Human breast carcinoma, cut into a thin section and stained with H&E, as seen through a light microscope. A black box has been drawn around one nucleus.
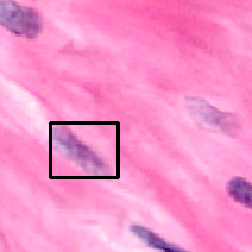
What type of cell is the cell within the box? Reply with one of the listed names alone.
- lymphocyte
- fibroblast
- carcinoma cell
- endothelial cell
fibroblast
